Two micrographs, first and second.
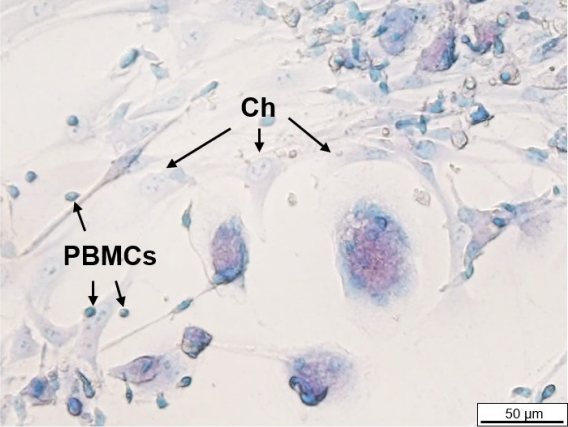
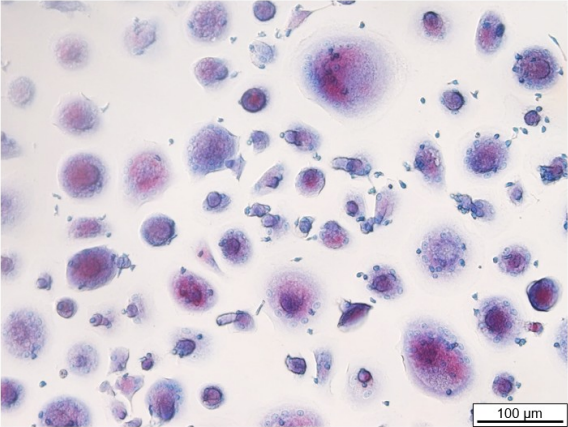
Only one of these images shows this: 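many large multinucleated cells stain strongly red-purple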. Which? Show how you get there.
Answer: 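The second image. First image: few large cells, with pale red-purple staining among many blue-stained spread cells. Second image: numerous large rounded cells with intense red-purple cytoplasm.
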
